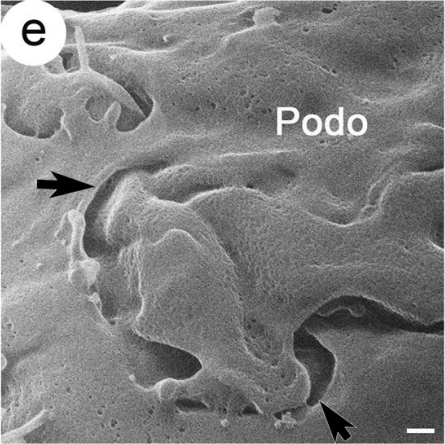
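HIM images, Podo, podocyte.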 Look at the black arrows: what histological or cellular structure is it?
Junctional structures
